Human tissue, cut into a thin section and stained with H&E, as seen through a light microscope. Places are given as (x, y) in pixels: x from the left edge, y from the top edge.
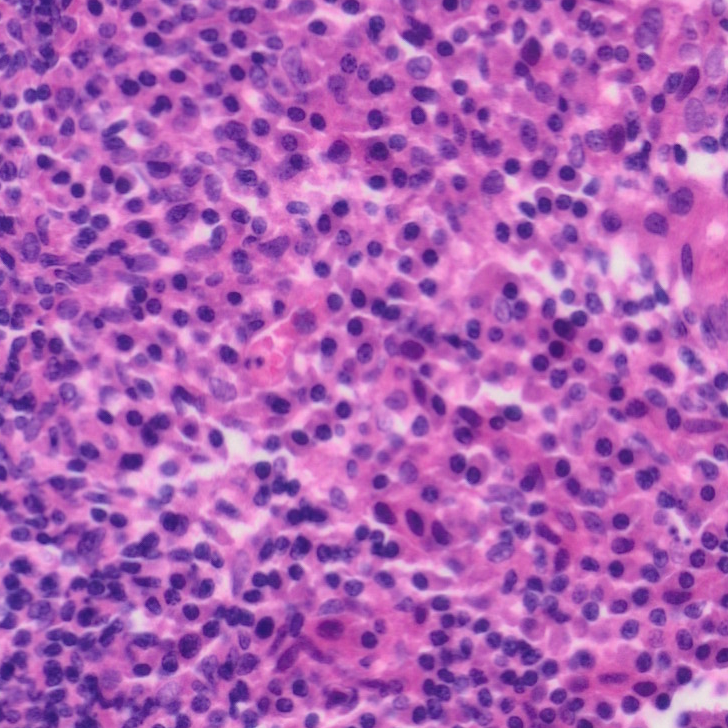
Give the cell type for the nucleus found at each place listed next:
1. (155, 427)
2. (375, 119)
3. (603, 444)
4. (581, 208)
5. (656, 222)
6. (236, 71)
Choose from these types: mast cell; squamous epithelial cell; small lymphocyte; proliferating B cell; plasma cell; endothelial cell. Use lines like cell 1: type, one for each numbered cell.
cell 1: squamous epithelial cell
cell 2: plasma cell
cell 3: plasma cell
cell 4: plasma cell
cell 5: squamous epithelial cell
cell 6: plasma cell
